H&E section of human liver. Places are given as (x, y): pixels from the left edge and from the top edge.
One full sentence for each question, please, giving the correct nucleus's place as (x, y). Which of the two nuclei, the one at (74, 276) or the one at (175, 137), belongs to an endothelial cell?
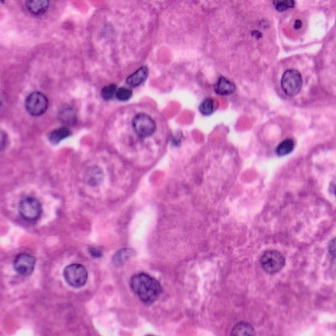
The nucleus situated at (175, 137) is the one belonging to an endothelial cell.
